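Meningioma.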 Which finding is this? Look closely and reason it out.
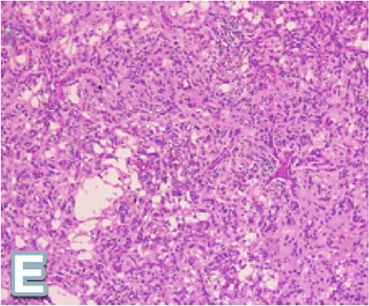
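The tissue is loose with many small clear spaces.
Hence: Microcystic.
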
